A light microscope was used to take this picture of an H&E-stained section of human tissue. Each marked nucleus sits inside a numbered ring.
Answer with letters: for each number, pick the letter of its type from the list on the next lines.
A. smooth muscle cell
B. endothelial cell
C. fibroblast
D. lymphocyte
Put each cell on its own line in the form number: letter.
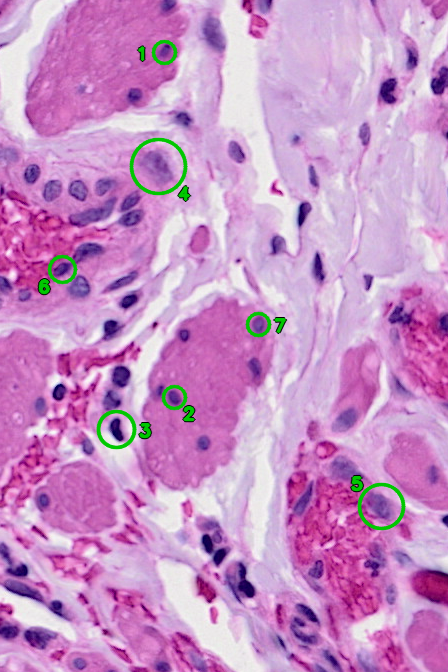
1: A
2: A
3: D
4: C
5: B
6: B
7: A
